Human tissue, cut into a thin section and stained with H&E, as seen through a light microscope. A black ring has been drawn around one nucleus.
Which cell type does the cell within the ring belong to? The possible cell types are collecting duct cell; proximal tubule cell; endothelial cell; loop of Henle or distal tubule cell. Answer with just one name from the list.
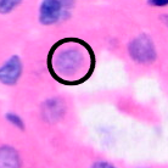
loop of Henle or distal tubule cell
